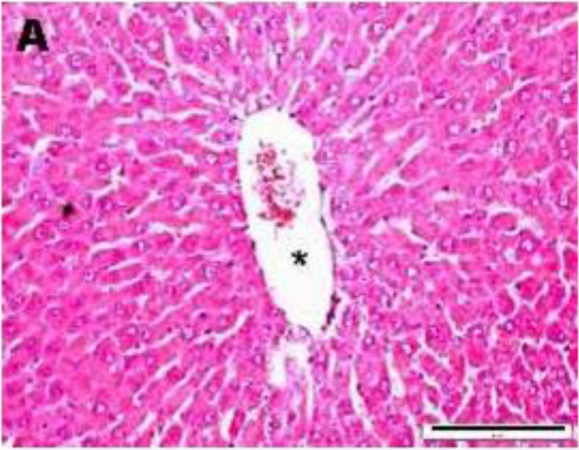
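Liver tissue with a large central vein surrounded by cords of hepatocytes radiating outward toward the periphery. The vein has an empty, elongated lumen holding a small cluster of red blood cells. The hepatocytes are polygonal with pink cytoplasm and round, centrally placed nuclei, some with a visible nucleolus. Narrow pale sinusoids run between the cords, parallel to them.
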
